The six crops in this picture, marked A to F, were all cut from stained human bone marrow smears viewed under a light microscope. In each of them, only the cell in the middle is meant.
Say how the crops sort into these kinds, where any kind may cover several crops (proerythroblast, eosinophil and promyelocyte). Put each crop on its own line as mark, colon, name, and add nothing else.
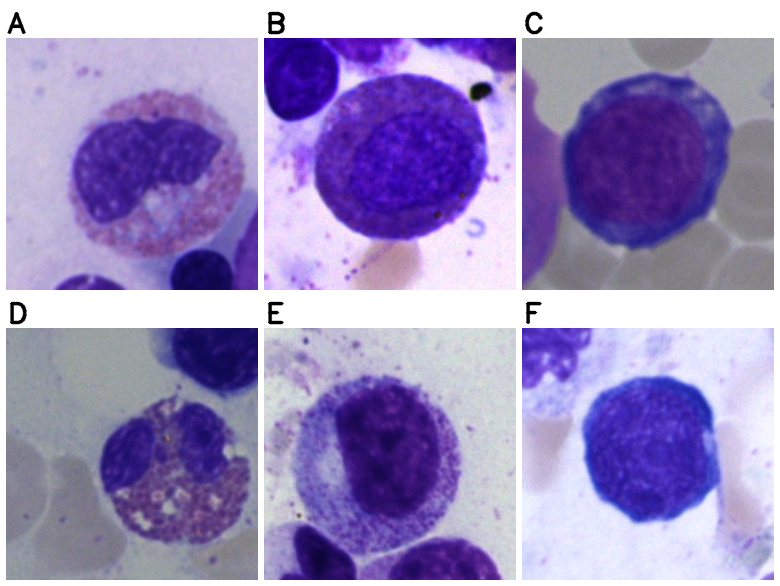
A: eosinophil
B: eosinophil
C: proerythroblast
D: eosinophil
E: promyelocyte
F: proerythroblast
